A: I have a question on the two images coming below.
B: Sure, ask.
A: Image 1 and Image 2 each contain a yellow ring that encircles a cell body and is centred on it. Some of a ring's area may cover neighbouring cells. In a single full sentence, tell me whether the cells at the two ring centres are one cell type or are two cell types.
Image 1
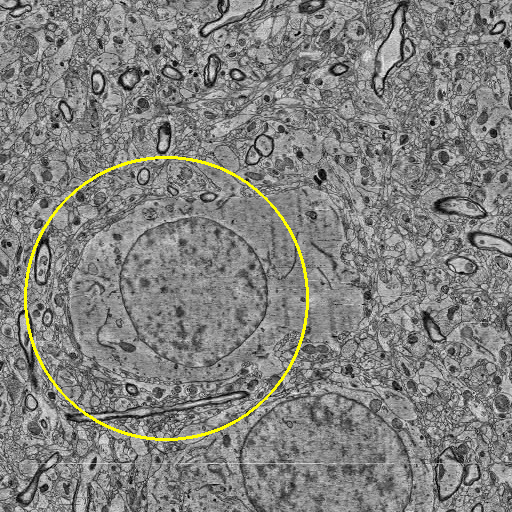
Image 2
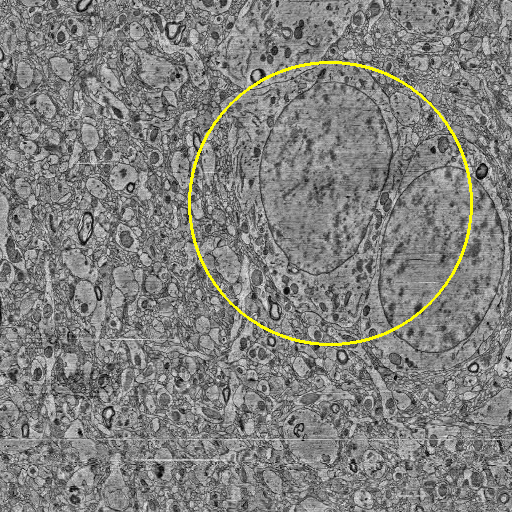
As for the ring-centre cells, the one in Image 1 and the one in Image 2 are two cell types.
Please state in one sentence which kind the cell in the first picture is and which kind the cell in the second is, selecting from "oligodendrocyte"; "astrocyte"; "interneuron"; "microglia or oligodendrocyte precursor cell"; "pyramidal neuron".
The first ringed cell is an astrocyte, the second ringed cell a pyramidal neuron.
